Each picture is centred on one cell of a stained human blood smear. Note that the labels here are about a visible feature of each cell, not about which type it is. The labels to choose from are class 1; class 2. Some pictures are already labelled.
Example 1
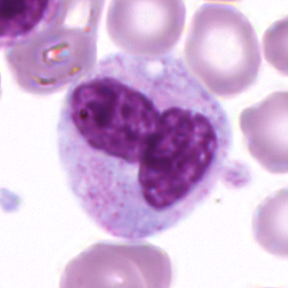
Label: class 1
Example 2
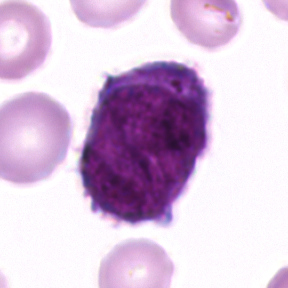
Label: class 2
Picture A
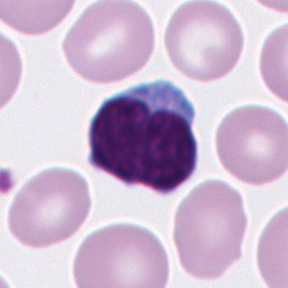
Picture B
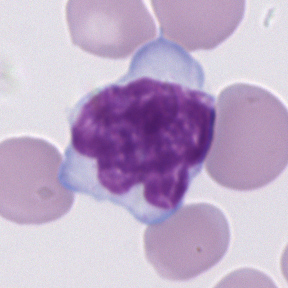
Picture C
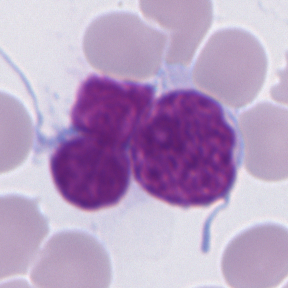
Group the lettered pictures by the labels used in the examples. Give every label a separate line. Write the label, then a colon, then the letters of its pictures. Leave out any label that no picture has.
class 1: A, B, C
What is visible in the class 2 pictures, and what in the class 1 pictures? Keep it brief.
In class 2: single compact nucleus. In class 1: lobed nucleus.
